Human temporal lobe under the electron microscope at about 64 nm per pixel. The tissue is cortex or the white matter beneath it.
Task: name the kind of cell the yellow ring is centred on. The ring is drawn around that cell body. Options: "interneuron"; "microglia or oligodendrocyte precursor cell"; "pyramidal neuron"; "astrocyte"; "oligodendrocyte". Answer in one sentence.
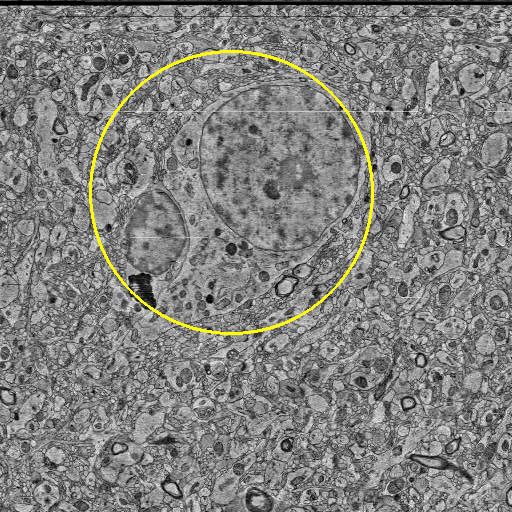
This cell body belongs to an interneuron.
